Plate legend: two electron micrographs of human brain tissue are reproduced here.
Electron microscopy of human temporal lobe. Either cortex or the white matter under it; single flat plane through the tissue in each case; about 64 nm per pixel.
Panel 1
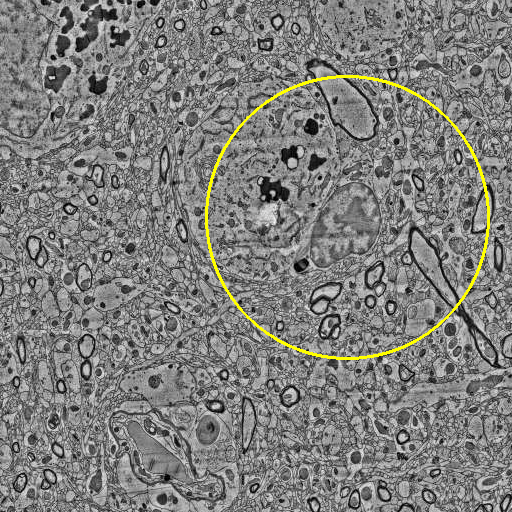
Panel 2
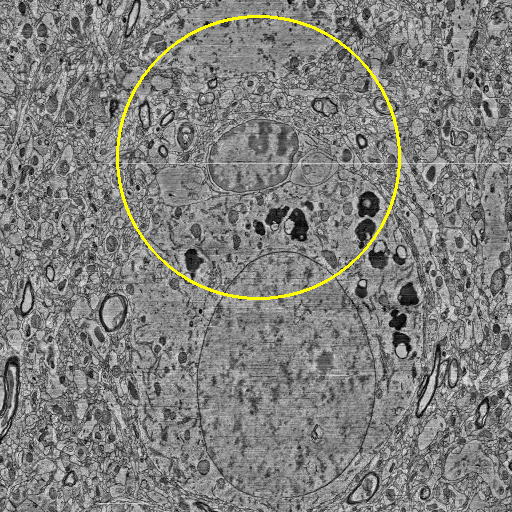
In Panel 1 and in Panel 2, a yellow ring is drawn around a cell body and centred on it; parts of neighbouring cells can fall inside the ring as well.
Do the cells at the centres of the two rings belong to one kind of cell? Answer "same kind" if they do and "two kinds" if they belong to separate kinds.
same kind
